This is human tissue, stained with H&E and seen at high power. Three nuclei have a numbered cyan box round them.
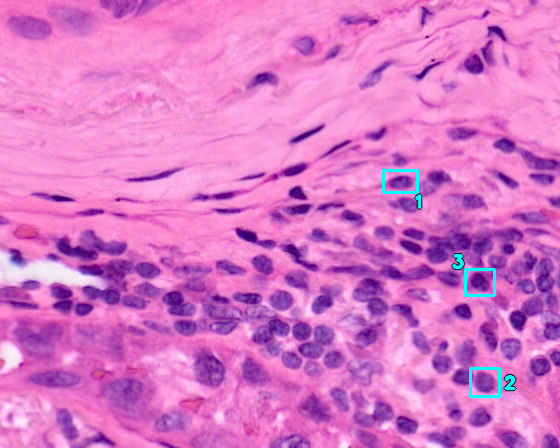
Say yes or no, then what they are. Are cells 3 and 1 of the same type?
No, cell 3 is a plasma cell and cell 1 is a lymphocyte.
